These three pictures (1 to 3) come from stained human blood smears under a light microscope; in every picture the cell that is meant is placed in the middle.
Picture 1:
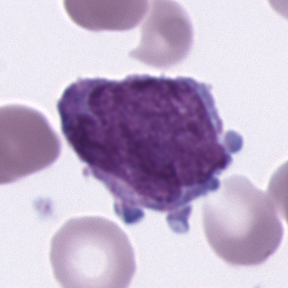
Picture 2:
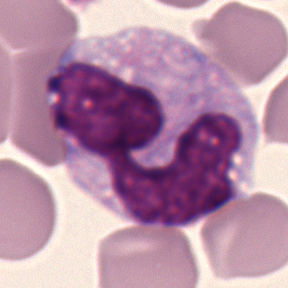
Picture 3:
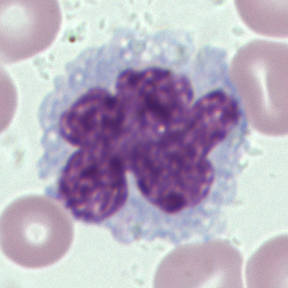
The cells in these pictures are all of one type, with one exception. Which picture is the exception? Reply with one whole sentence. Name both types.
The others show monocytes, but picture 1 shows an atypical promyelocyte.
